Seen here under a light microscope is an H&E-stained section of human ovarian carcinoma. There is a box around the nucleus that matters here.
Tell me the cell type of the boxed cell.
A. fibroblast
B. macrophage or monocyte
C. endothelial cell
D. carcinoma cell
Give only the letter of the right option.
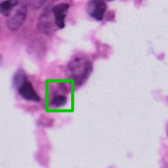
B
